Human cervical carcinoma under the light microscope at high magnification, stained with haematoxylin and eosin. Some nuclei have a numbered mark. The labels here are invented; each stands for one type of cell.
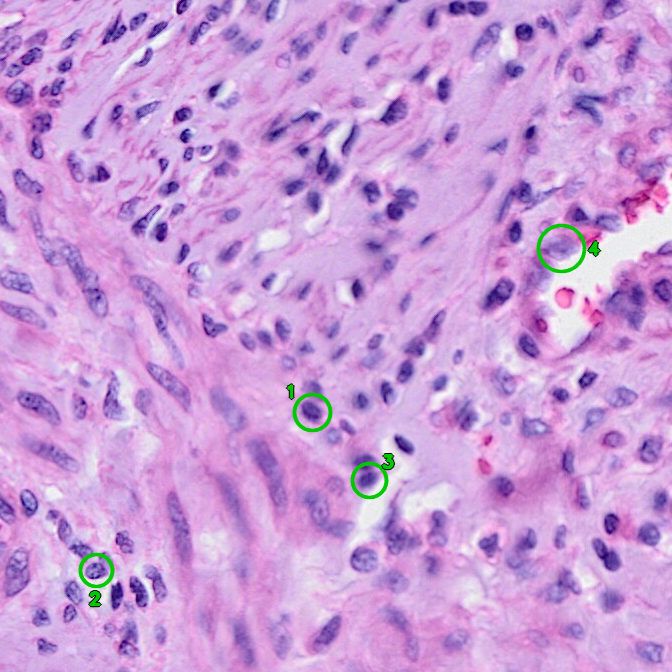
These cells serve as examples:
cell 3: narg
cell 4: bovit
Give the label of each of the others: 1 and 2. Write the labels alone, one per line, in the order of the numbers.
narg
narg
